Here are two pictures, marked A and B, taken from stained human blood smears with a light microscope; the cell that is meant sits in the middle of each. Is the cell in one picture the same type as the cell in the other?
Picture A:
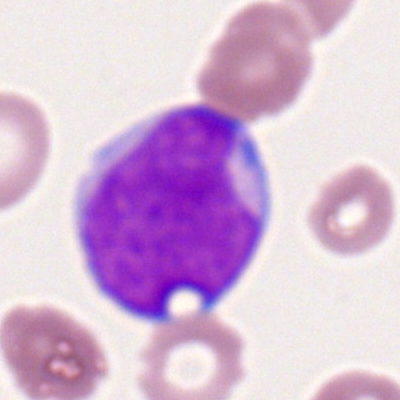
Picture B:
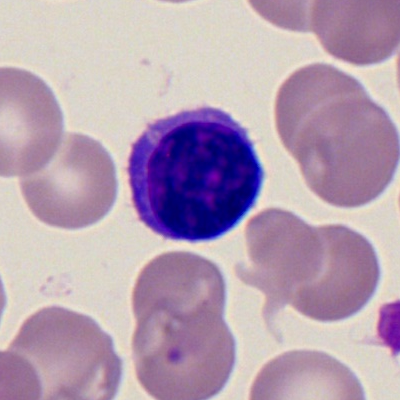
no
